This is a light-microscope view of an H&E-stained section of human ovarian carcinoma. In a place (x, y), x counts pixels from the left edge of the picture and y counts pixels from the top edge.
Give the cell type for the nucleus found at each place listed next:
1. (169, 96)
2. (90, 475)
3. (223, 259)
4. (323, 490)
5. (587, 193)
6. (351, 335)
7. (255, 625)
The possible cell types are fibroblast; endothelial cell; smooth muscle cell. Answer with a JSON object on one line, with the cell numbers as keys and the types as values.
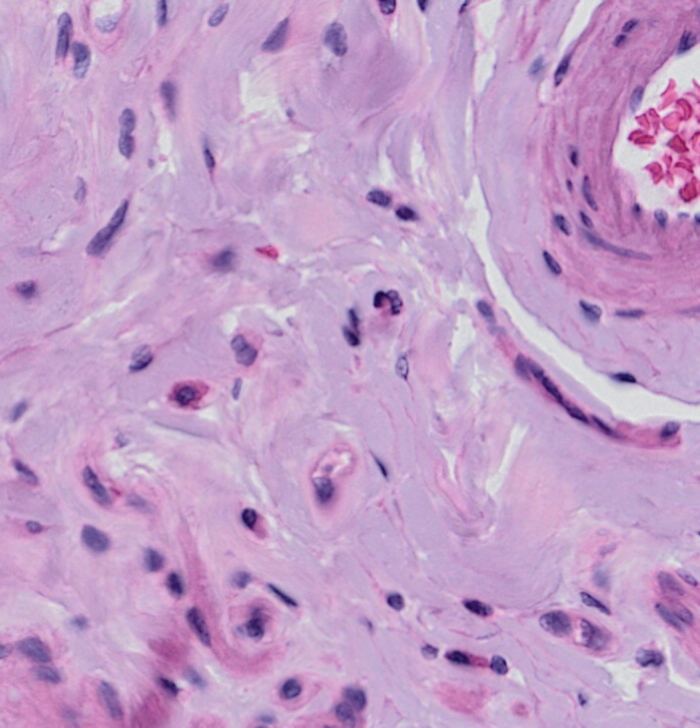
{"1": "fibroblast", "2": "endothelial cell", "3": "fibroblast", "4": "endothelial cell", "5": "smooth muscle cell", "6": "fibroblast", "7": "endothelial cell"}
